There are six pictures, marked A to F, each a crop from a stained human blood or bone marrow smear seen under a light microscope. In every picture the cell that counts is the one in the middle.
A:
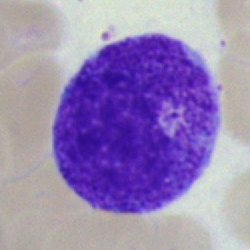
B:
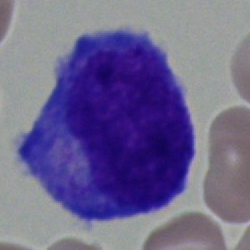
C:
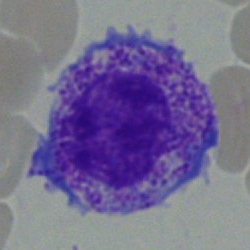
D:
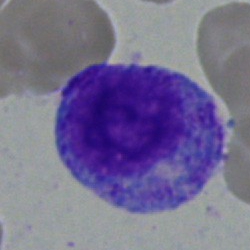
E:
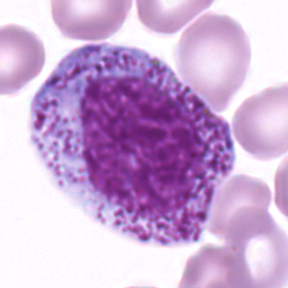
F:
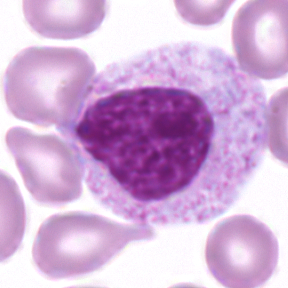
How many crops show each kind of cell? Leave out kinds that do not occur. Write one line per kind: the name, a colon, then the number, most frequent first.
promyelocyte: 4
myelocyte: 2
